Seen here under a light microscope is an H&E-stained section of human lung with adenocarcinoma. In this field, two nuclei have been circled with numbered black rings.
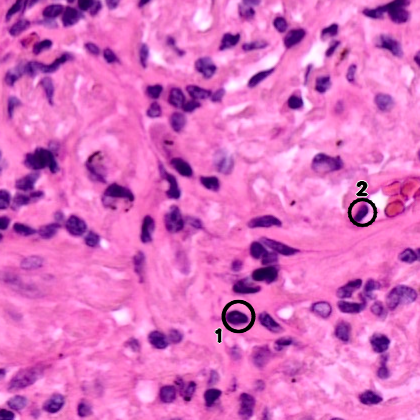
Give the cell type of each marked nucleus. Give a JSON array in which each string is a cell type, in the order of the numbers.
["plasma cell", "endothelial cell"]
